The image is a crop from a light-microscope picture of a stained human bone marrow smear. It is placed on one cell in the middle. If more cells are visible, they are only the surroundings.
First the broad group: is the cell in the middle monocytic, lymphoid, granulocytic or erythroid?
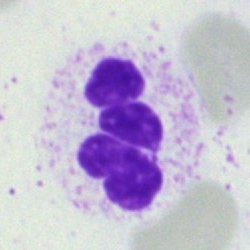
granulocytic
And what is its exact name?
segmented neutrophil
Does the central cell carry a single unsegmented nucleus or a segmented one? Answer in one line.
Counting the nuclear lobes gives a total of at least two.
